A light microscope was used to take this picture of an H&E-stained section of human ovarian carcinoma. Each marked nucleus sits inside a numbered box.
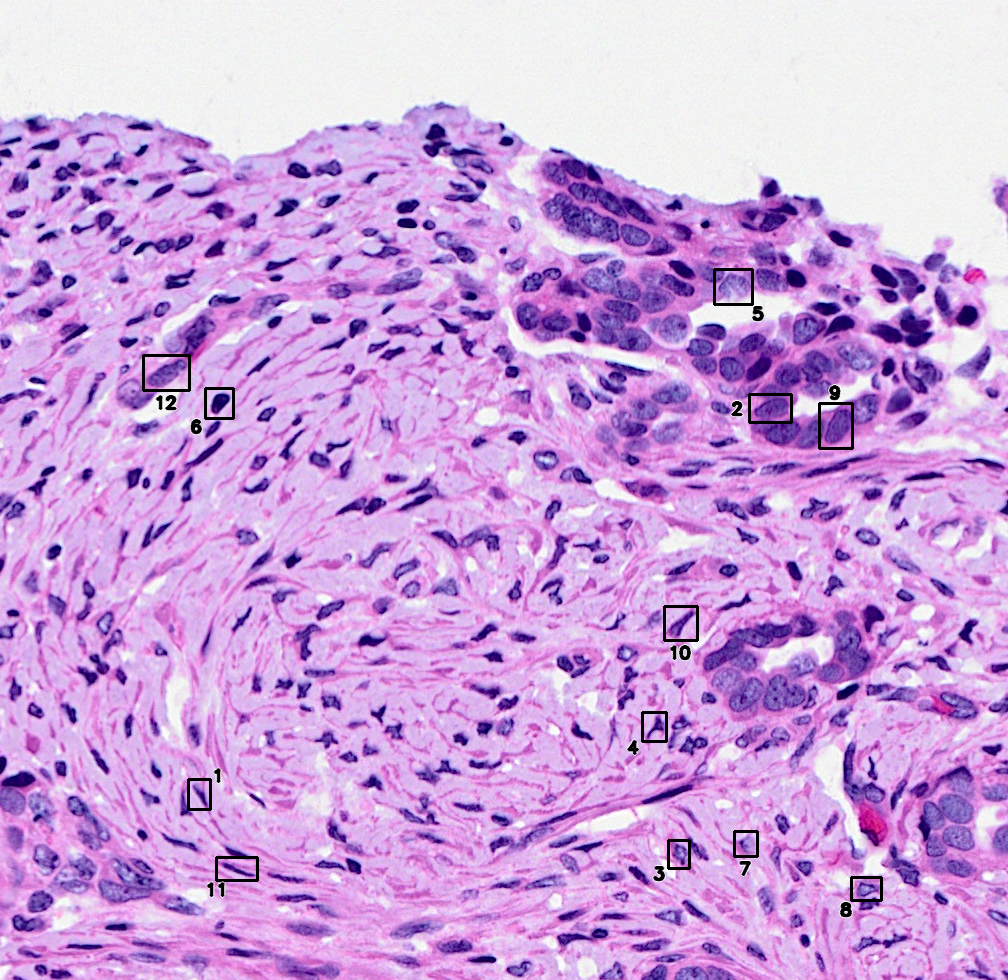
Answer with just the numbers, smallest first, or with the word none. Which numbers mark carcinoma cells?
2, 5, 9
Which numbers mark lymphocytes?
6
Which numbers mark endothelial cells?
12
